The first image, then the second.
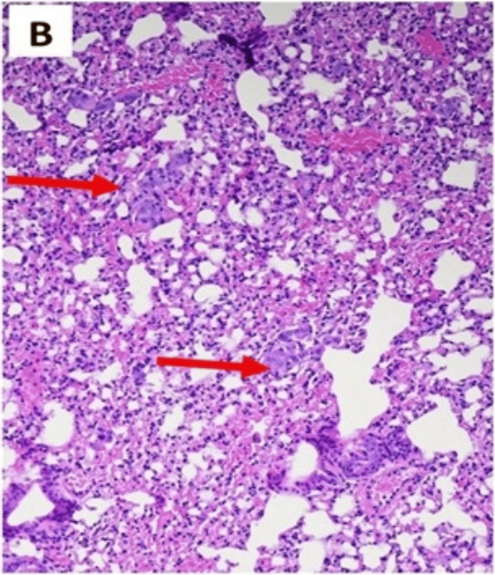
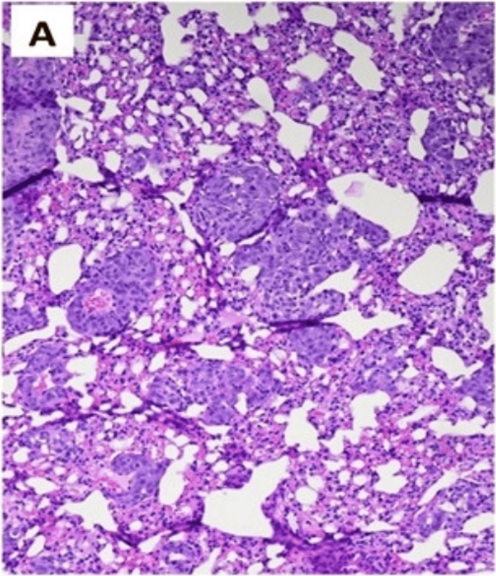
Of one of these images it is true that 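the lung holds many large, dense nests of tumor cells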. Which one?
The second image.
